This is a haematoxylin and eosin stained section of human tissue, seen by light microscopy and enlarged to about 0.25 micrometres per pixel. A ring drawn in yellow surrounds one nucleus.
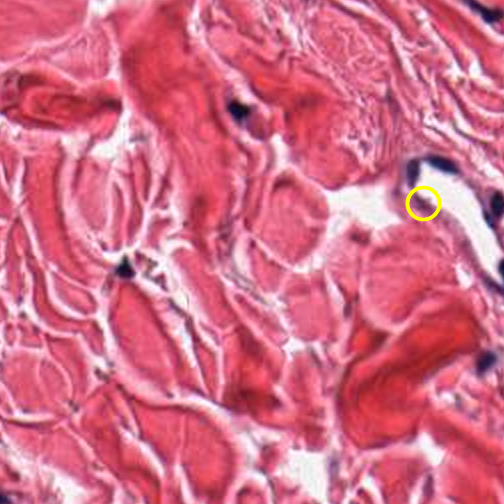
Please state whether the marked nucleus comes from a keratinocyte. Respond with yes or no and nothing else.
no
